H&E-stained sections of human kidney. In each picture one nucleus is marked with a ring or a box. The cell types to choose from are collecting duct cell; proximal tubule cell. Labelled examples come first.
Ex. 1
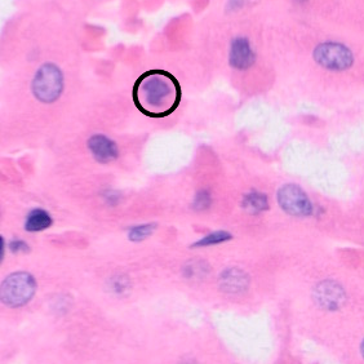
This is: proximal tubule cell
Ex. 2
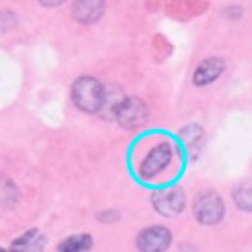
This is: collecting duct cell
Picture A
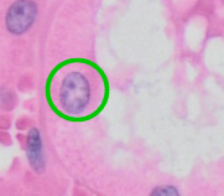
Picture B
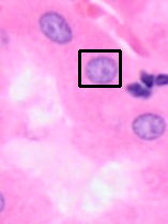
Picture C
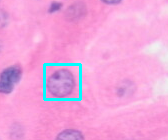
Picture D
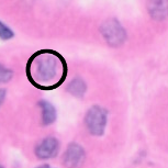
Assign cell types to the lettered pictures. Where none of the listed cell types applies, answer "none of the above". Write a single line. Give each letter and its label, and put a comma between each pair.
A proximal tubule cell, B proximal tubule cell, C proximal tubule cell, D none of the above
